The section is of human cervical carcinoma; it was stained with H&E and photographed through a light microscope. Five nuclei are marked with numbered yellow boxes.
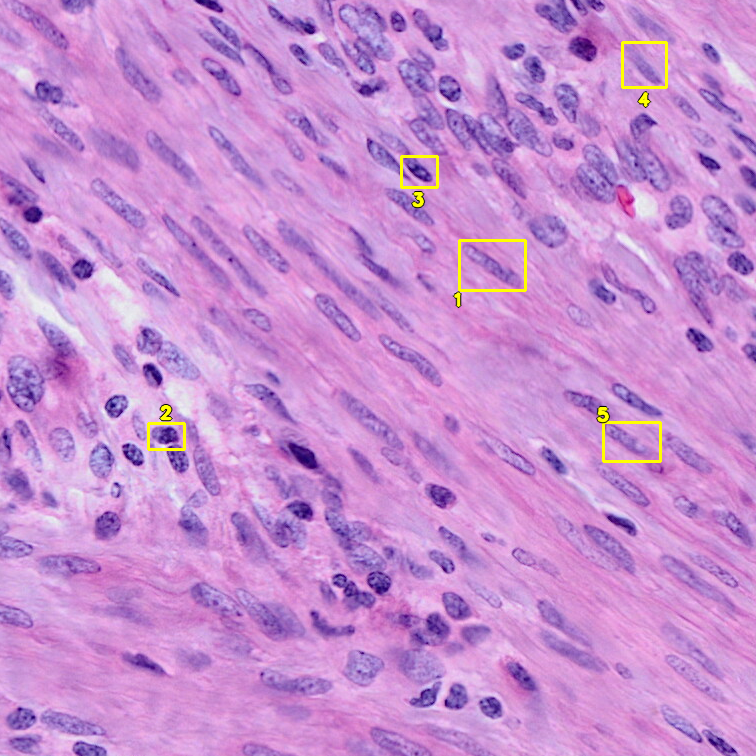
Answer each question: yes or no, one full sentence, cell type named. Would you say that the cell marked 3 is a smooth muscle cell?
No, a lymphocyte, not a smooth muscle cell, is the cell with number 3.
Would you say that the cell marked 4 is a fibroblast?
Yes, the cell identified as number 4 is a fibroblast.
